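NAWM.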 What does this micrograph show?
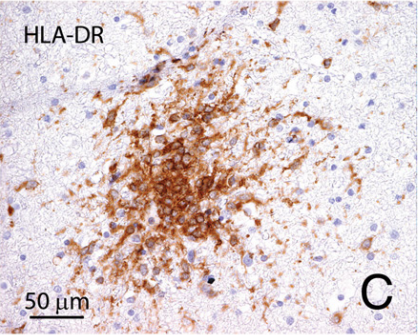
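In pale white matter with scattered blue oligodendrocyte-like nuclei, a dense rounded cluster of brown-stained cells sits in the centre, their bodies crowded together and sending thick, short branching processes outward in all directions. A few single brown branched cells lie in the surrounding tissue. This is a circumscribed nodule of activated microglia.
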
